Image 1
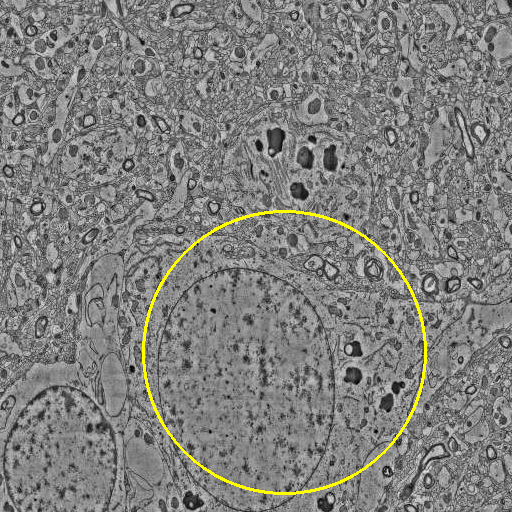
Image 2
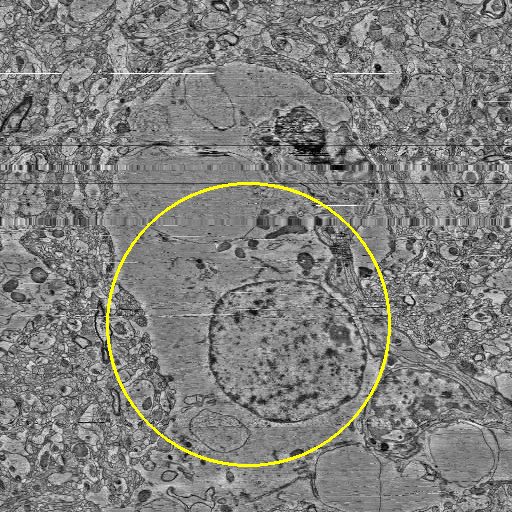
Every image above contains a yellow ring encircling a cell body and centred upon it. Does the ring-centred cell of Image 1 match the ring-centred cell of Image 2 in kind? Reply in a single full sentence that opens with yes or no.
No, the cell at the ring's centre in Image 1 is a separate kind from that in Image 2.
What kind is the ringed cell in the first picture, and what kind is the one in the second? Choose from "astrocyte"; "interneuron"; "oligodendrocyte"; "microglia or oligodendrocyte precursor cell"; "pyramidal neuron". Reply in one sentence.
The first cell is a pyramidal neuron; the second is an astrocyte.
